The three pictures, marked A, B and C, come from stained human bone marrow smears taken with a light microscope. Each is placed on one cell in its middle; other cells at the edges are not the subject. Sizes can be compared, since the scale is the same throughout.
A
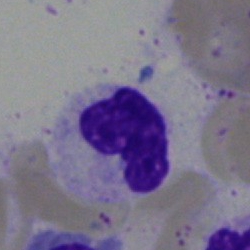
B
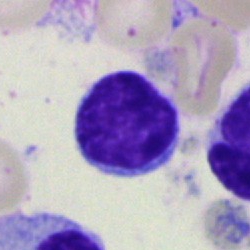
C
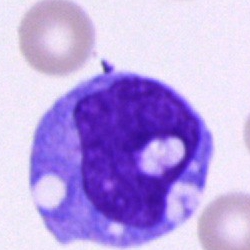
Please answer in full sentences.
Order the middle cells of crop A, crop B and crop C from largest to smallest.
The order is C, A, B, beginning with the largest.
